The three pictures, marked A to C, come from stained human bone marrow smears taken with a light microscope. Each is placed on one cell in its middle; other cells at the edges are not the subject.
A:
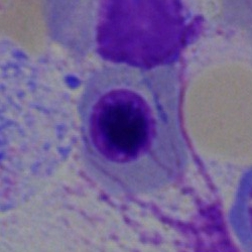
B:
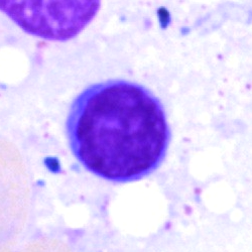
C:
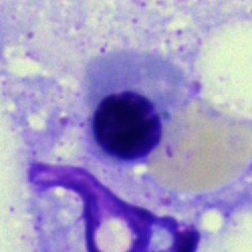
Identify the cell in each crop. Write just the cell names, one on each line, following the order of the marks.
normoblast
lymphocyte
normoblast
